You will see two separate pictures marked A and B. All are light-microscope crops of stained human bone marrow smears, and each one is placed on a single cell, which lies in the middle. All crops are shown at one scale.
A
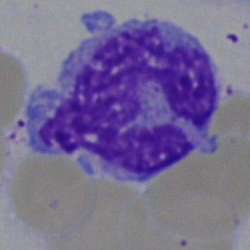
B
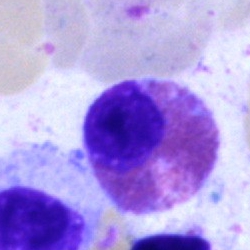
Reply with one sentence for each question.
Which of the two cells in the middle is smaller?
Smaller is the cell in crop B, and the other is about 1.5 times as large in area.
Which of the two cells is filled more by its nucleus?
Of the two, the nucleus in crop A makes up the greater part of its cell.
